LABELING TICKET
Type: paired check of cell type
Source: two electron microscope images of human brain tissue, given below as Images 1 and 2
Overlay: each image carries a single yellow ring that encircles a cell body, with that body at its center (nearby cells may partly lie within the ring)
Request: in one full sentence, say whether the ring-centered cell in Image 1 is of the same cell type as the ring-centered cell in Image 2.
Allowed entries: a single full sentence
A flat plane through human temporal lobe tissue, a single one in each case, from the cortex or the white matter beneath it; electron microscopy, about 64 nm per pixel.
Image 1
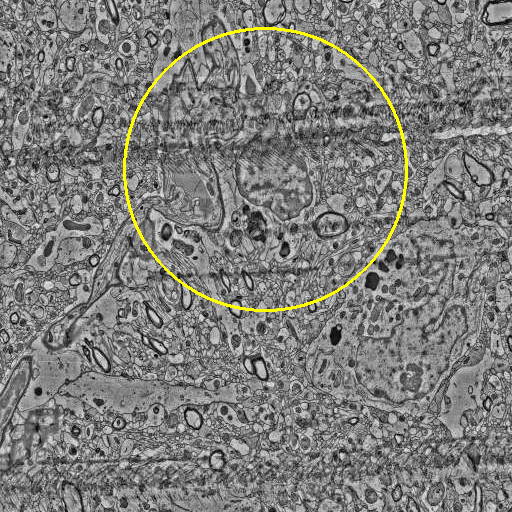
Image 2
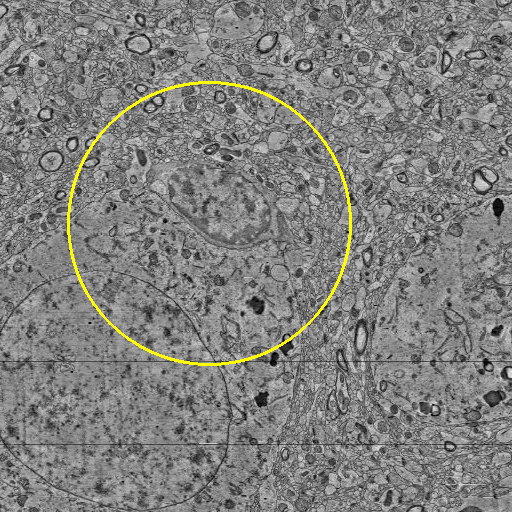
No, the cells centered in the rings of Image 1 and Image 2 are of two types.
